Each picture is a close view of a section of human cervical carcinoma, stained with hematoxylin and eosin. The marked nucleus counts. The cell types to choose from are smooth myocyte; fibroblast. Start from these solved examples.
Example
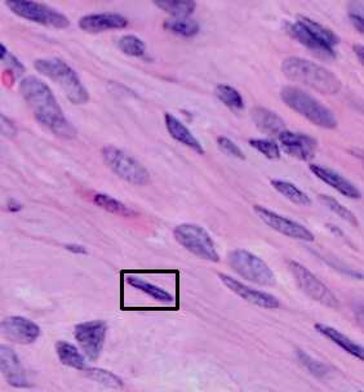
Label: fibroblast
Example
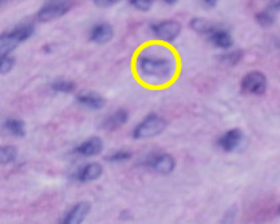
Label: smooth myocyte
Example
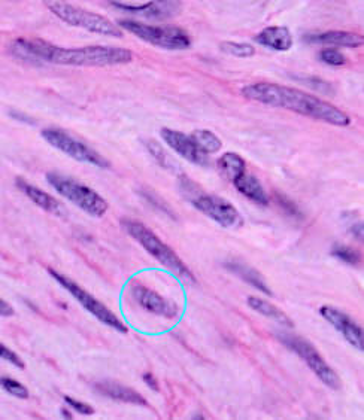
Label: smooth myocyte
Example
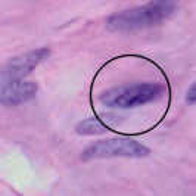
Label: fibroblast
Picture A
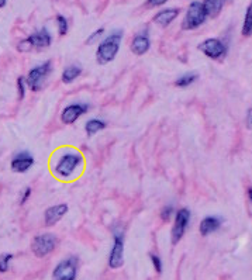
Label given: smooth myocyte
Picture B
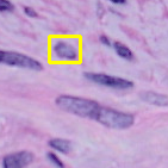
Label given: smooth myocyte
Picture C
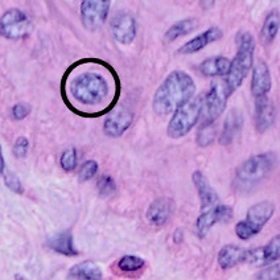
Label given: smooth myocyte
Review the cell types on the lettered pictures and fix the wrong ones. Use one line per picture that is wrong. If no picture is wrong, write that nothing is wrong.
None of the labels needs changing.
